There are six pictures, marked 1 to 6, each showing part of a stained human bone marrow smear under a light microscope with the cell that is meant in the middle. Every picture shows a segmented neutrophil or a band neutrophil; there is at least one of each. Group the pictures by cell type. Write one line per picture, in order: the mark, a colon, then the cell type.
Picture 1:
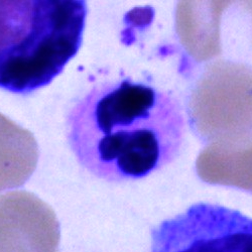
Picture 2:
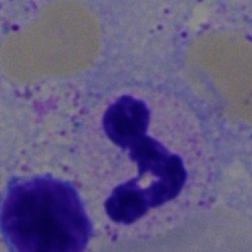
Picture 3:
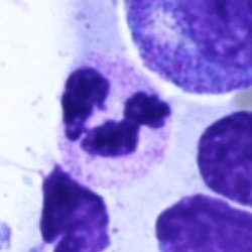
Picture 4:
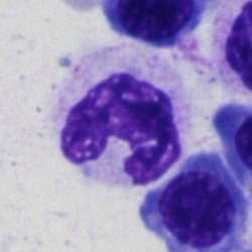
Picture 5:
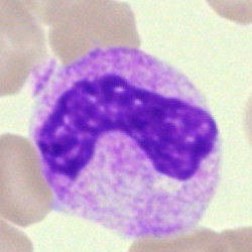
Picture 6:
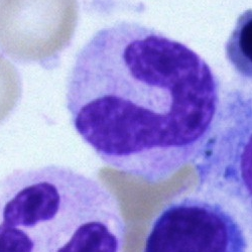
1: segmented neutrophil
2: segmented neutrophil
3: segmented neutrophil
4: band neutrophil
5: band neutrophil
6: band neutrophil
